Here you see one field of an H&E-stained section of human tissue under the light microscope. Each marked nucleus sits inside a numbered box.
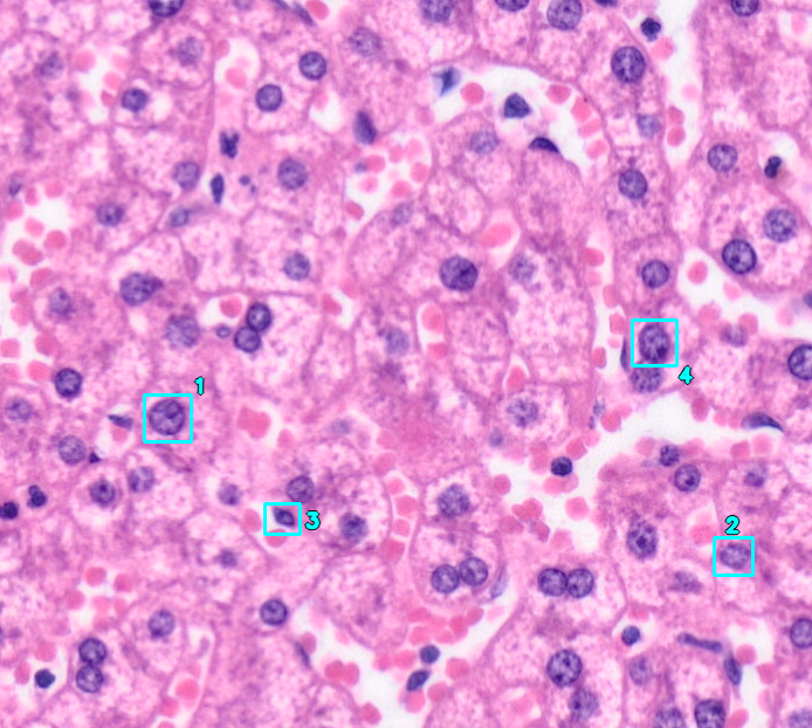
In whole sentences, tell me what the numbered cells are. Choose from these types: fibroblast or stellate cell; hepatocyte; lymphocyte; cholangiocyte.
Cells 1, 2 and 4 are hepatocytes. Cell 3 is a lymphocyte.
